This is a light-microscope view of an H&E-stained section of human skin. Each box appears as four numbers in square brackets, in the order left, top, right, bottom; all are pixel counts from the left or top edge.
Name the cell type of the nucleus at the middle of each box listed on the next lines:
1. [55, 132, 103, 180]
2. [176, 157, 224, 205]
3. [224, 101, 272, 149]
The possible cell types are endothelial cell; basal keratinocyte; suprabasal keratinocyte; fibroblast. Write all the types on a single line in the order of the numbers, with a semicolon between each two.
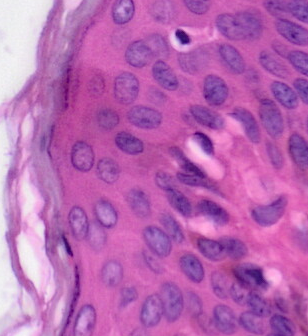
suprabasal keratinocyte; basal keratinocyte; basal keratinocyte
